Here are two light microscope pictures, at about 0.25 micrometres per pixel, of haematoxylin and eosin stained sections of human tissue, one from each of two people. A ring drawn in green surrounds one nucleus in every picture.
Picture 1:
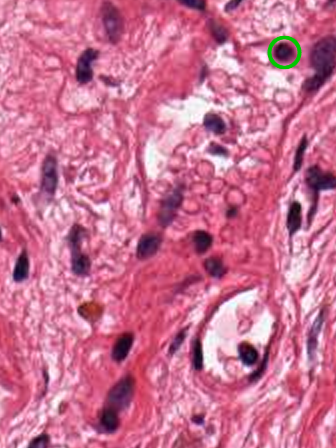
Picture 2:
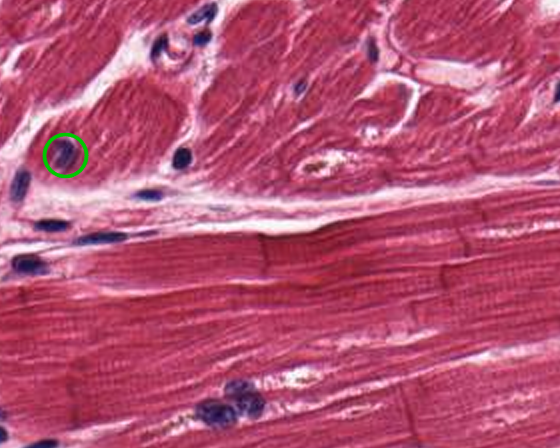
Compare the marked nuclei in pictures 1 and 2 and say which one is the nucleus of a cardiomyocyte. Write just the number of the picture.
2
